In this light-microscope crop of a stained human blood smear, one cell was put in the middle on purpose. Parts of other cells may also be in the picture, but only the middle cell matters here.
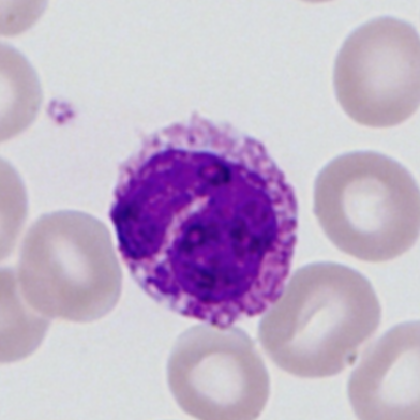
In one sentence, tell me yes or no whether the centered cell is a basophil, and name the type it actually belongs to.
Yes, this central cell is a basophil.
